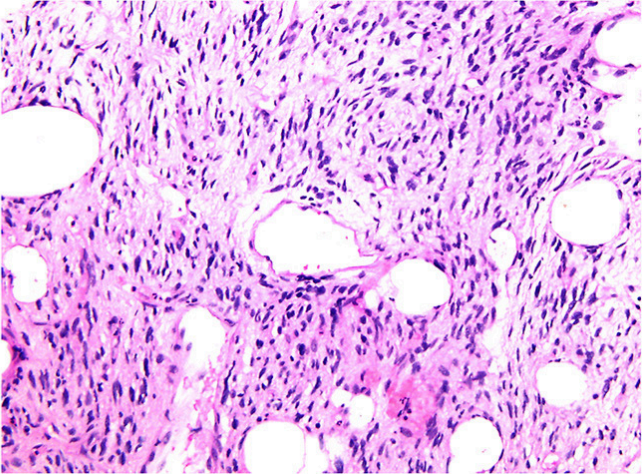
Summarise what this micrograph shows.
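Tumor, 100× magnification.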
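Spindle cells with elongated, dark purple nuclei fill the field, arranged in loose, streaming fascicles within a pink, delicately fibrillary collagenous stroma. Only a few round empty fat vacuoles of varying size are scattered among them.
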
